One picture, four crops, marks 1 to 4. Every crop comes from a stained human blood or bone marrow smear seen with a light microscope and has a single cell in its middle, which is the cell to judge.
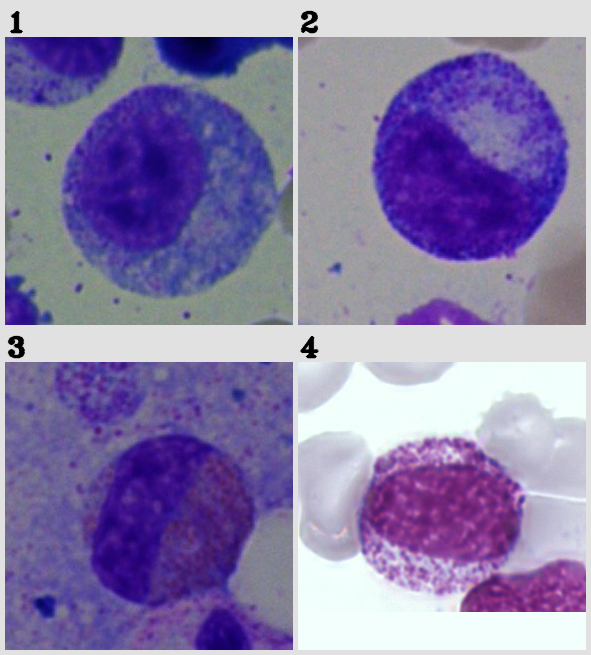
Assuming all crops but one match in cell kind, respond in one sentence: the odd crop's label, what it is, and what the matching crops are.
Crop 3 is the only one that is an eosinophil; all the others show myelocytes.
